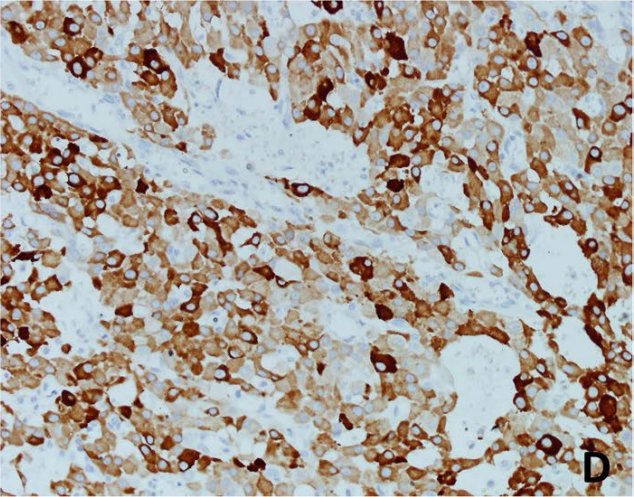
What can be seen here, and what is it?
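Nests and cords of polygonal tumor cells with abundant cytoplasm lie in a pale, loose stroma. The cytoplasm of most cells stains brown, strongly in some and faintly in others, and the small round nuclei are blue. The stroma between the nests is unstained.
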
